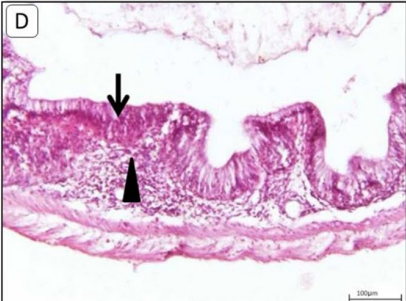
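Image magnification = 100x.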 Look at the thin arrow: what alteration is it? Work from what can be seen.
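The mucosal surface forms only low, broad, merged folds. No long separate finger-like projections are present. On this evidence: shortened, stunted fused villi.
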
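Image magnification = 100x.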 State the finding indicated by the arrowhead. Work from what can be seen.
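The connective tissue beneath the epithelium is crowded with many small dark nuclei. The answer: cellular infilterates.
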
